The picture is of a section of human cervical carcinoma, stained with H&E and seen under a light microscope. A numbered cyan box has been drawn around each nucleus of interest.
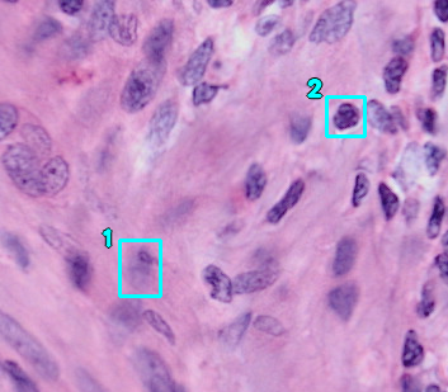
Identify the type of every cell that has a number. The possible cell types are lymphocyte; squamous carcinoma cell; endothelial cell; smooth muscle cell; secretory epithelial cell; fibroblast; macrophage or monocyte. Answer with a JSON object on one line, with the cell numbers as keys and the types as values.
{"1": "fibroblast", "2": "lymphocyte"}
